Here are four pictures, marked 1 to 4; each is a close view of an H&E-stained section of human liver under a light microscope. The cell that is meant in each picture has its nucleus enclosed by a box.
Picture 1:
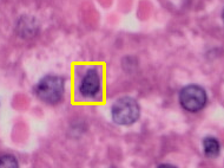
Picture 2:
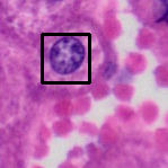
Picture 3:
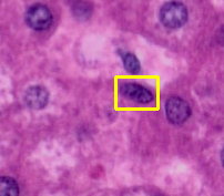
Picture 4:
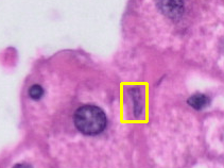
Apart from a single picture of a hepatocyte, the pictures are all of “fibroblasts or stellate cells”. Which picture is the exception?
2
